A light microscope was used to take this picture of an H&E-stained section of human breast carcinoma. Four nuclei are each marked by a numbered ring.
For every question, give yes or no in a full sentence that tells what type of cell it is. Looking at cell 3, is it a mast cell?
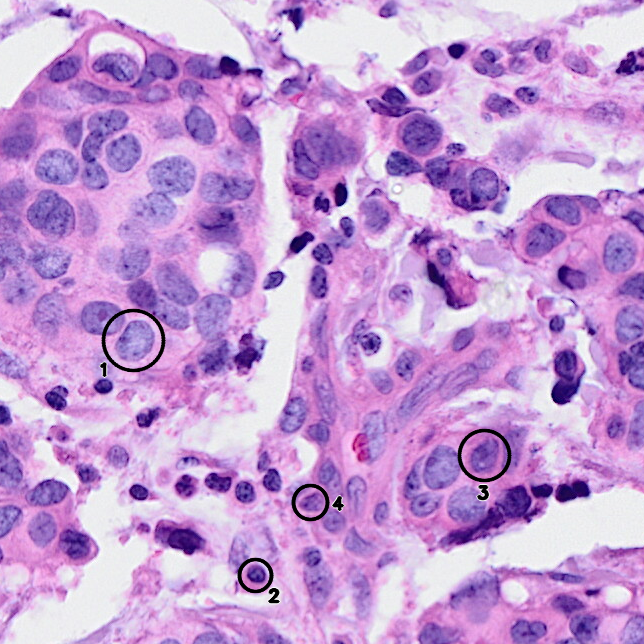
No, what is marked as number 3 is a carcinoma cell rather than a mast cell.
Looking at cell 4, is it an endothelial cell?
Yes, so the cell at label 4 is an endothelial cell.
